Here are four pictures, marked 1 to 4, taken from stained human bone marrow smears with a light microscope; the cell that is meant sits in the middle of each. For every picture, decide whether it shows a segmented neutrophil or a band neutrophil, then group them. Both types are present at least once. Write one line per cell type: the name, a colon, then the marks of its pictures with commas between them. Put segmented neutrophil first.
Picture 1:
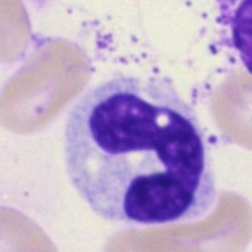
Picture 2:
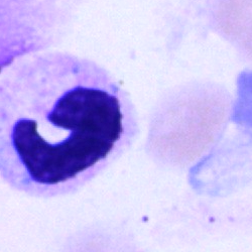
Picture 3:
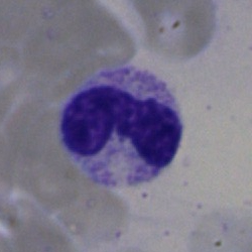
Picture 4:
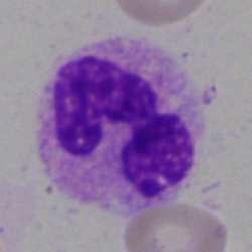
segmented neutrophil: 4
band neutrophil: 1, 2, 3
